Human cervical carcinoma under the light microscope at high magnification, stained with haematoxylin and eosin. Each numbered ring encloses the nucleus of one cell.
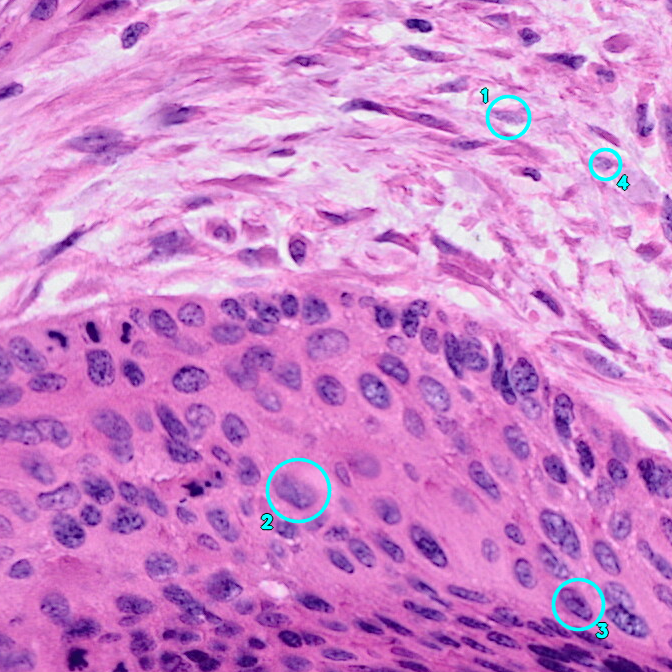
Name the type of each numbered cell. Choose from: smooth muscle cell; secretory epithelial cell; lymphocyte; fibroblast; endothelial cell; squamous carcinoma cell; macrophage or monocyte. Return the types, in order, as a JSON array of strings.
["fibroblast", "squamous carcinoma cell", "squamous carcinoma cell", "fibroblast"]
